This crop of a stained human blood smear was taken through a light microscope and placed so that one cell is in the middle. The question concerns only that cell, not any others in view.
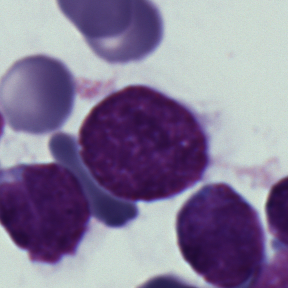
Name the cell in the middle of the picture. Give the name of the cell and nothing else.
myeloblast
